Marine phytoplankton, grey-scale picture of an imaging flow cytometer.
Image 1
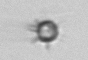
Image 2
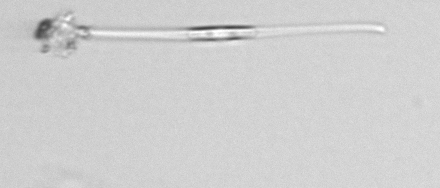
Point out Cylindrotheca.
That is picture 2.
